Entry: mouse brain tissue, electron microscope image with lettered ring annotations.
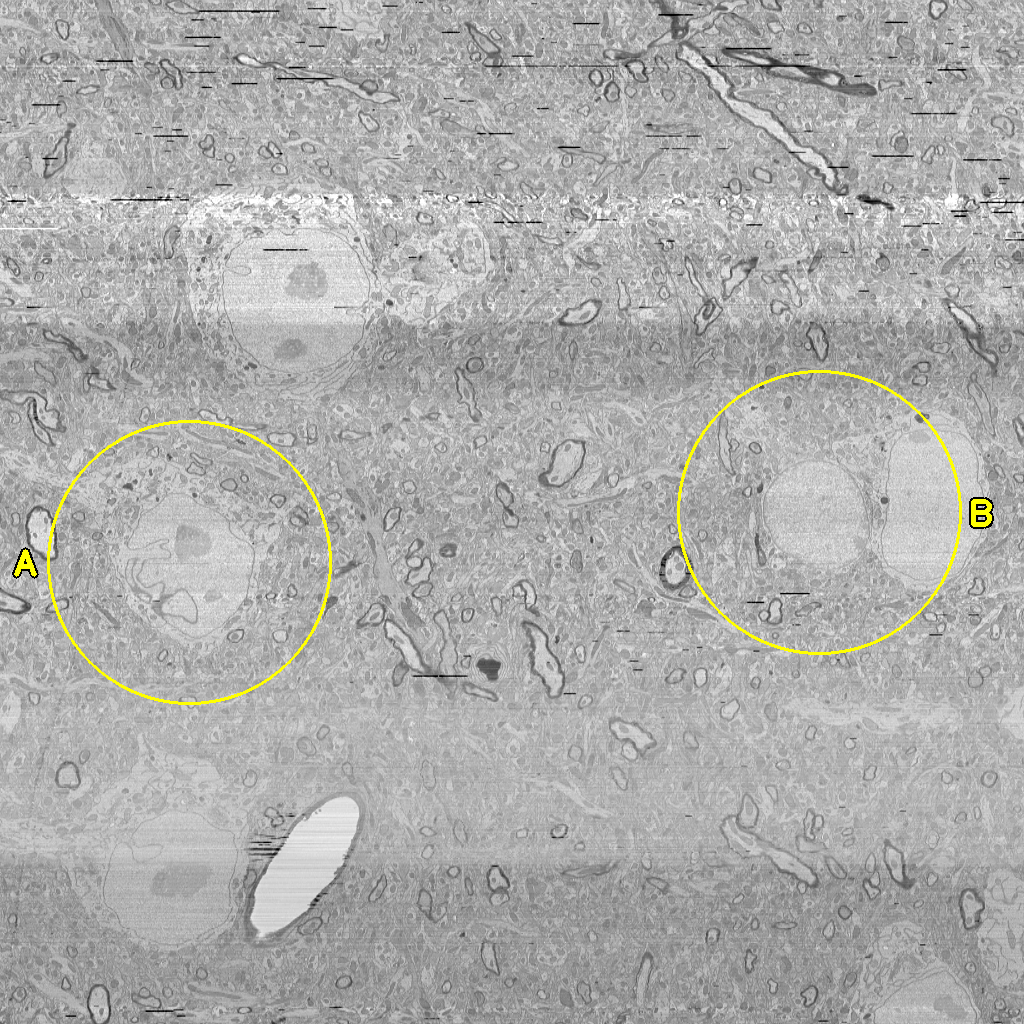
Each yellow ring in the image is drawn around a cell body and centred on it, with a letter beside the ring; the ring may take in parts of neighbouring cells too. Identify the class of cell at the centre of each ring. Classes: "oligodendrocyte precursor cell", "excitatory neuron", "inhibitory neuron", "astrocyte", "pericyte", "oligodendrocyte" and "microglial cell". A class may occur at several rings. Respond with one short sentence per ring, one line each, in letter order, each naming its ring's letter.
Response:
Ring A holds an excitatory neuron at its centre.
Ring B holds an astrocyte at its centre.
